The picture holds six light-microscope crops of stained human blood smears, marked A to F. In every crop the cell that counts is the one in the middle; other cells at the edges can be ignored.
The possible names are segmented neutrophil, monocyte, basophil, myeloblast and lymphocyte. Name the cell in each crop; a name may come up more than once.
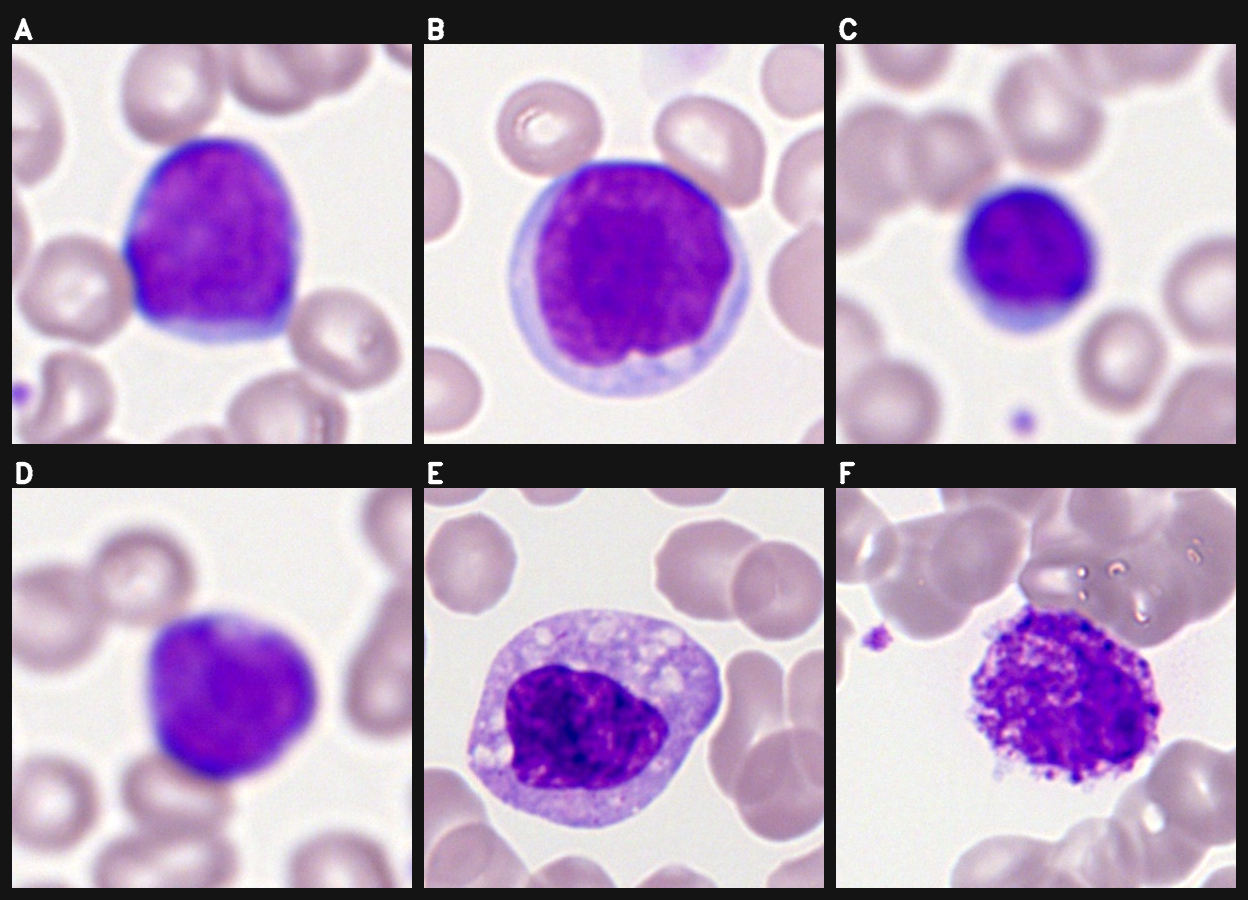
A: myeloblast
B: myeloblast
C: lymphocyte
D: myeloblast
E: monocyte
F: basophil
